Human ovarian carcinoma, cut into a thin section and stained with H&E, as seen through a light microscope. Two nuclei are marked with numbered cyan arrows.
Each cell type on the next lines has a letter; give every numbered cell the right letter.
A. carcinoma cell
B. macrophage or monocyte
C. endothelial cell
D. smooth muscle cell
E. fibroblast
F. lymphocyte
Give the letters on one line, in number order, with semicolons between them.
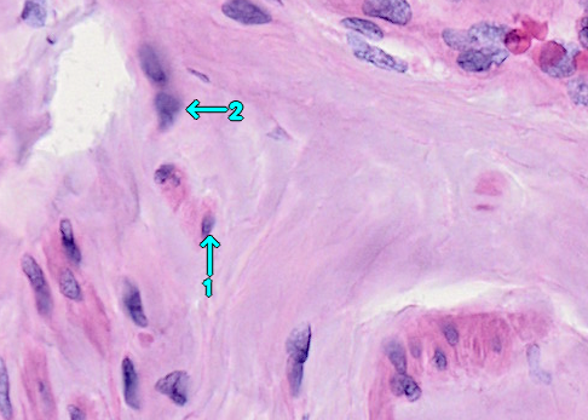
D; E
